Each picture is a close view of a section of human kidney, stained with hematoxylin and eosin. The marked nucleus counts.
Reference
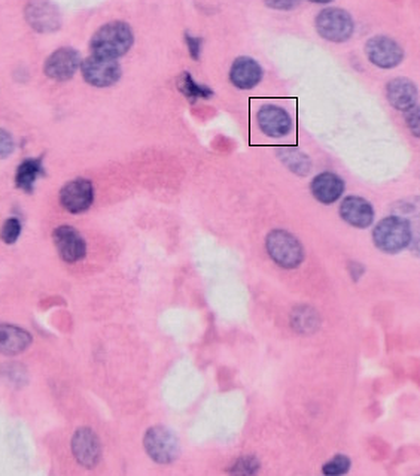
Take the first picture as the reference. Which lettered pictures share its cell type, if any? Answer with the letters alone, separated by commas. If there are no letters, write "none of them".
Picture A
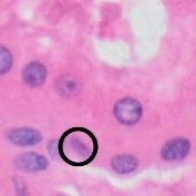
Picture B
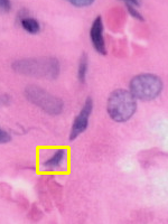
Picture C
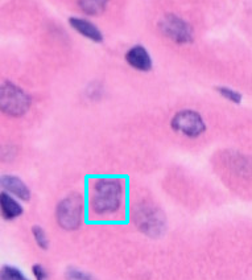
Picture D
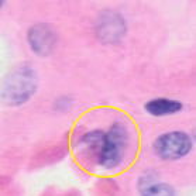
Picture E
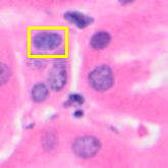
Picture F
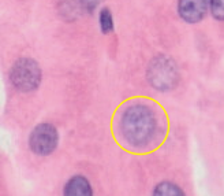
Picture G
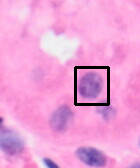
A, E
